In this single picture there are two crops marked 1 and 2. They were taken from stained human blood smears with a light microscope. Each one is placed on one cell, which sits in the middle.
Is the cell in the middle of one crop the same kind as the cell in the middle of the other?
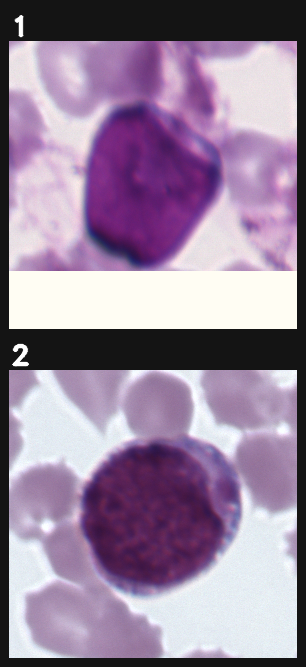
yes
